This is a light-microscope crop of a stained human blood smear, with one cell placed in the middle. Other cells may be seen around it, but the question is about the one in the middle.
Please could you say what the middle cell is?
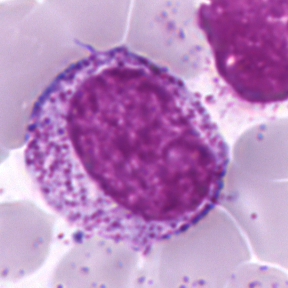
myelocyte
